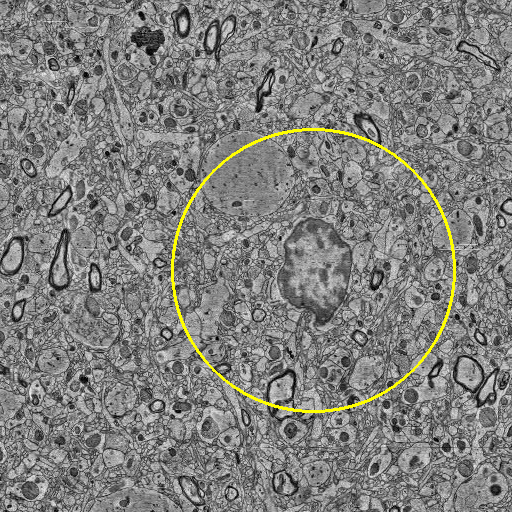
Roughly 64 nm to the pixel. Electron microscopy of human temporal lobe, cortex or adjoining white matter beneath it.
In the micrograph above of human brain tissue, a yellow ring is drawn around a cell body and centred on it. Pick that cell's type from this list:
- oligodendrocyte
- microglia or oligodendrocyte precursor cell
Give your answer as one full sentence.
Going by the list, a microglial cell or oligodendrocyte precursor cell is the cell on which the yellow ring is centred.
